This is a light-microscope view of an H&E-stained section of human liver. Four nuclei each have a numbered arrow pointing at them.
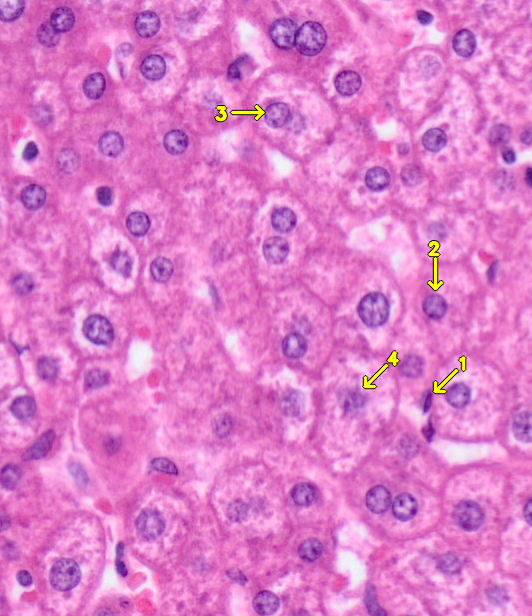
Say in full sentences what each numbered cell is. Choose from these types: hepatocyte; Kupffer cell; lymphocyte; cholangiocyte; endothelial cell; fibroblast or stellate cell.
Cell 1 is an endothelial cell, cell 2 is a hepatocyte, cell 3 is a hepatocyte and cell 4 is a hepatocyte.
